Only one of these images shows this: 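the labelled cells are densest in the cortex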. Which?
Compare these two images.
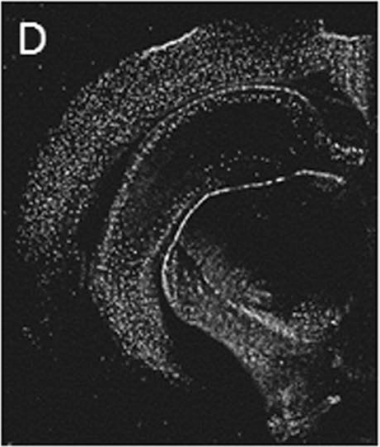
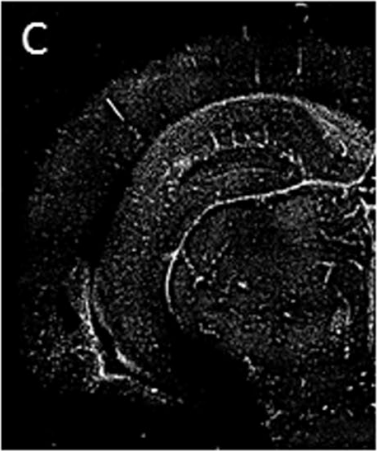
The first image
